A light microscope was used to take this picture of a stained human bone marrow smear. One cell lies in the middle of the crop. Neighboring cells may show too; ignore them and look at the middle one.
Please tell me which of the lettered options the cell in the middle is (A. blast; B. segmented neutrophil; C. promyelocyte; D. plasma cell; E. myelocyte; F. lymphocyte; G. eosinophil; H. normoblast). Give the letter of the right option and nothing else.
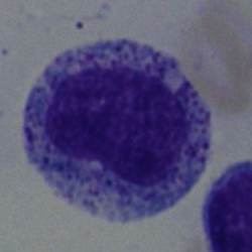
C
